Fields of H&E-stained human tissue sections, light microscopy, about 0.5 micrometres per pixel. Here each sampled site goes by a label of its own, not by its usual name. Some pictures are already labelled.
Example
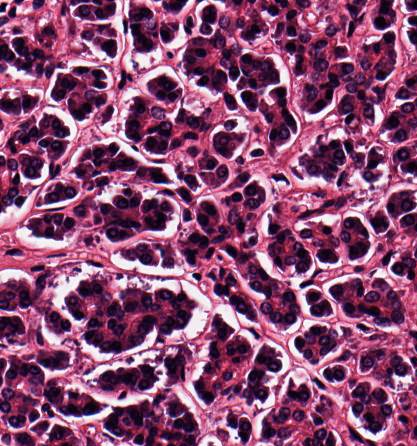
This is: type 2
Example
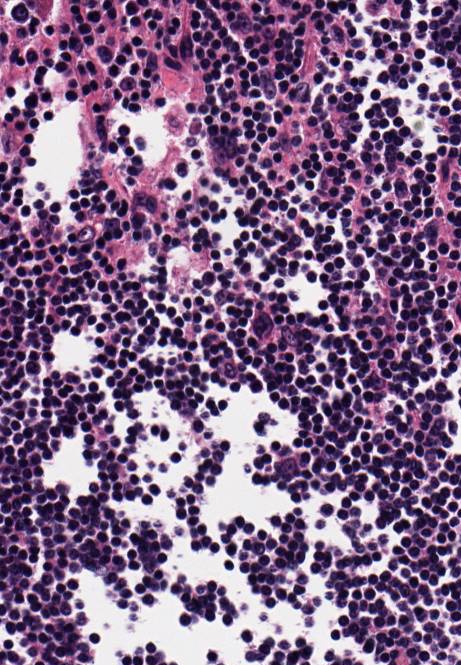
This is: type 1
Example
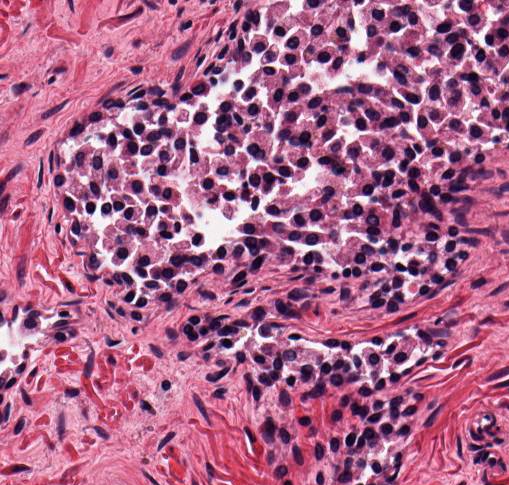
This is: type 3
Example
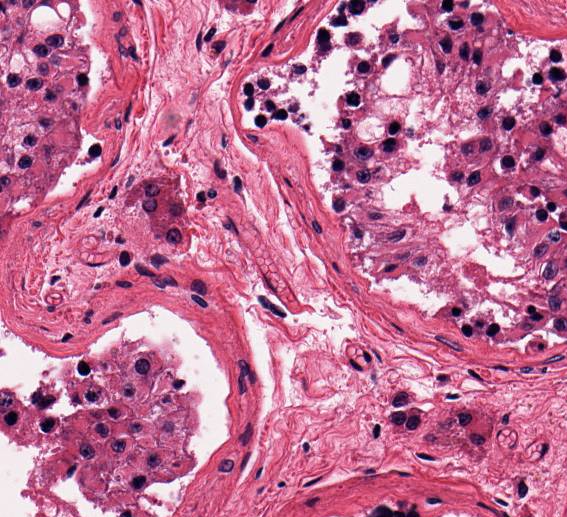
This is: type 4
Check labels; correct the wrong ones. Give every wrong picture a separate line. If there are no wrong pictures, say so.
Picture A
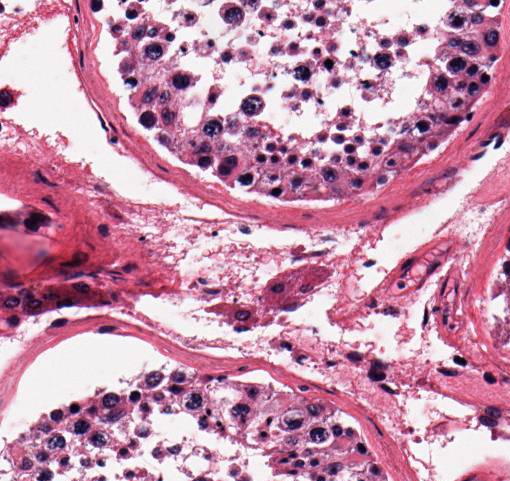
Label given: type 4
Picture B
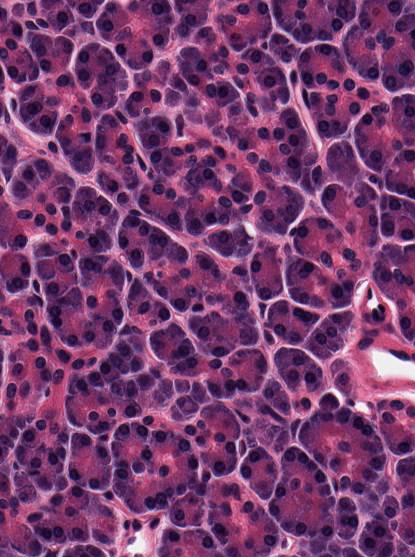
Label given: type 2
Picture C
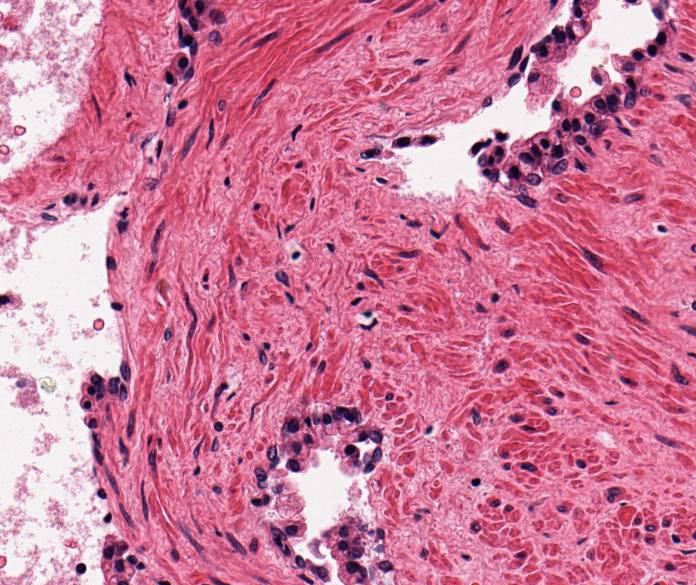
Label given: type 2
C is labelled type 2; correct label: type 3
